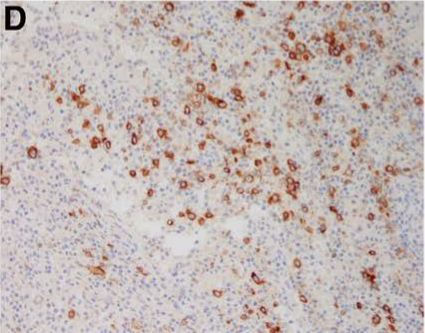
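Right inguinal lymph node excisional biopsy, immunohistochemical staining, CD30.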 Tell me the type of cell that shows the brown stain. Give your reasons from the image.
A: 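Brown ring-like staining around scattered large cells. Many background cells remain unstained.
Hence: large atypical cells.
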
